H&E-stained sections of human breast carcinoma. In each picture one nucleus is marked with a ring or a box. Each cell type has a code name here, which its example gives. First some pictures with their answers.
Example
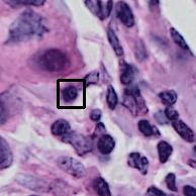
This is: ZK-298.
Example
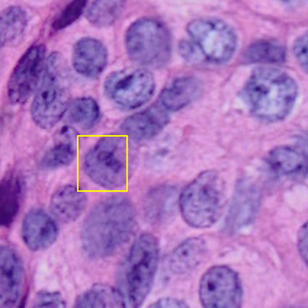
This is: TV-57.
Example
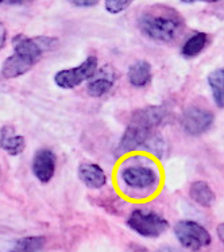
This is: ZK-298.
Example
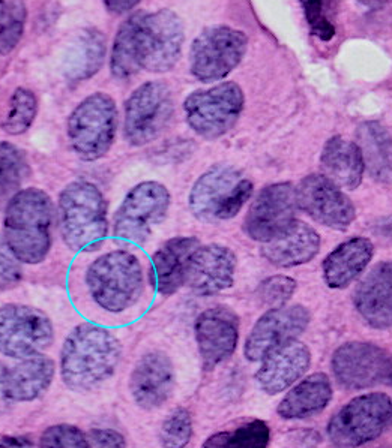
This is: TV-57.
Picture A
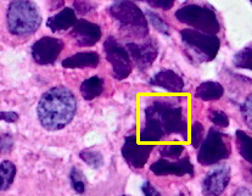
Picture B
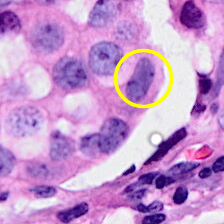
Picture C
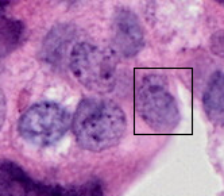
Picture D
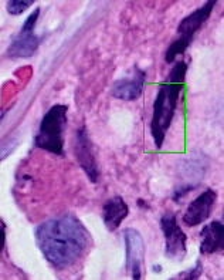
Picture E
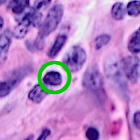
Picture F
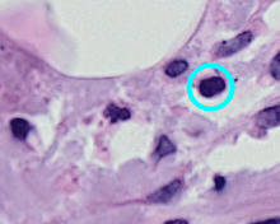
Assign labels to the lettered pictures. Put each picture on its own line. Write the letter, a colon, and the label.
A: TV-57.
B: TV-57.
C: TV-57.
D: TV-57.
E: ZK-298.
F: ZK-298.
